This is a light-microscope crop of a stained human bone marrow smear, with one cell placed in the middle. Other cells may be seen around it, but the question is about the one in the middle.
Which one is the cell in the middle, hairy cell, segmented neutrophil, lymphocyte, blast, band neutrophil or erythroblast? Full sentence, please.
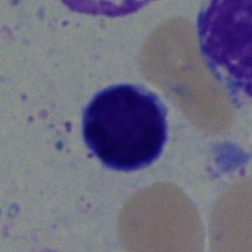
Among the cells in view, the one in the middle is a lymphocyte.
